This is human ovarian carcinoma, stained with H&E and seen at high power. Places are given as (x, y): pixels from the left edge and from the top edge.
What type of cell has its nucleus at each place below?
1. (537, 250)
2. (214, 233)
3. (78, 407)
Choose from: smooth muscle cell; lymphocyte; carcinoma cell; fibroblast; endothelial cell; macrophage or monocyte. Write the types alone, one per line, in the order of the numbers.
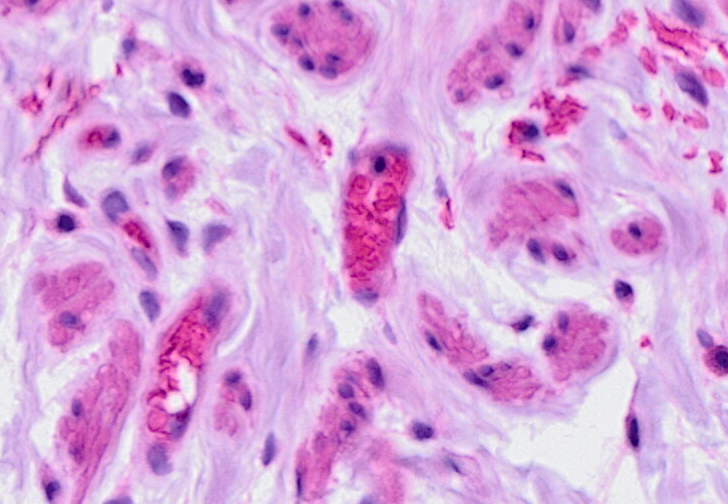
smooth muscle cell
fibroblast
smooth muscle cell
